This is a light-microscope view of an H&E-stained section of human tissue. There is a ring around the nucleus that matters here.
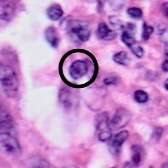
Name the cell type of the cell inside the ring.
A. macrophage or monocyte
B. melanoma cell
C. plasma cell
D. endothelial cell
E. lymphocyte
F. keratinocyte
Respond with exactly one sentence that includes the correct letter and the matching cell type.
Here the cell inside the ring is a lymphocyte, which makes option E correct.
